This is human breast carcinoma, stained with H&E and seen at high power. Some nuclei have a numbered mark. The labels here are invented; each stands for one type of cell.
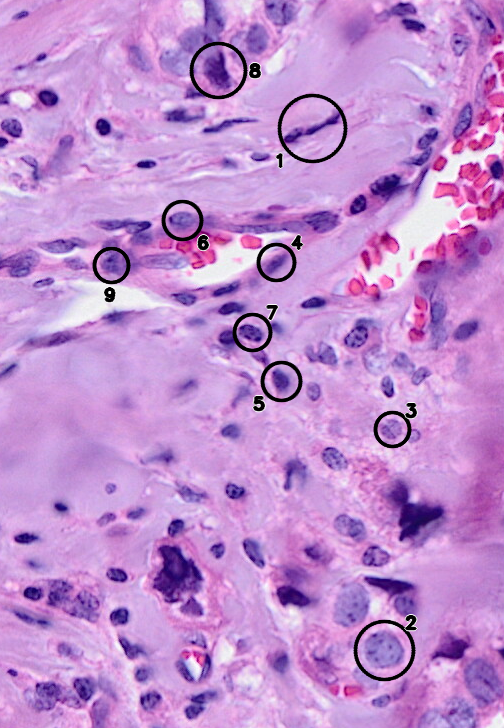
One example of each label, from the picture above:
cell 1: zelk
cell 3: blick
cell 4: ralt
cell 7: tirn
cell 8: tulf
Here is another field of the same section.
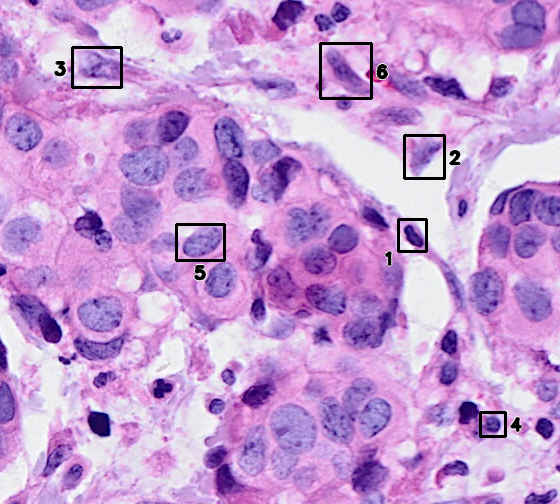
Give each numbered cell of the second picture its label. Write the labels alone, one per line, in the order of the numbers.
tirn
zelk
zelk
tirn
tulf
ralt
